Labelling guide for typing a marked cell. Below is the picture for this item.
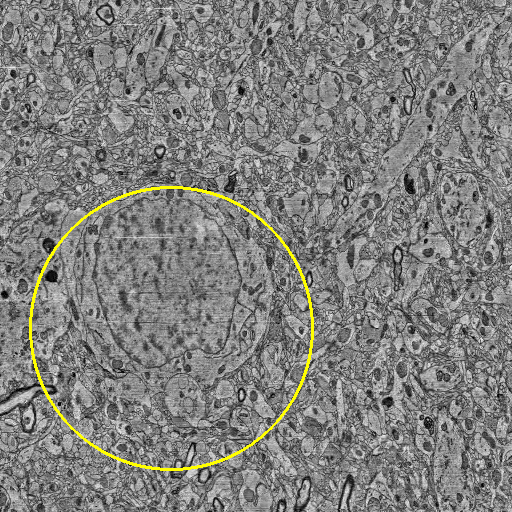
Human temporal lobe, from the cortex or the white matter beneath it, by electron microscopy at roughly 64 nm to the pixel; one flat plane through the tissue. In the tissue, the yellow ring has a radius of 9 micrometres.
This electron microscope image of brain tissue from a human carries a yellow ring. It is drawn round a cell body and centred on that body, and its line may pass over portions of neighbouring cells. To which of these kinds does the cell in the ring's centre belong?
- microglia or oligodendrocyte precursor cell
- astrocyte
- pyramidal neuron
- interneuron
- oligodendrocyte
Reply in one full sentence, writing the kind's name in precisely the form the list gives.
Here we have an interneuron at the centre of the yellow ring in the picture.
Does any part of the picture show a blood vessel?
No, no vessel appears in the picture.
